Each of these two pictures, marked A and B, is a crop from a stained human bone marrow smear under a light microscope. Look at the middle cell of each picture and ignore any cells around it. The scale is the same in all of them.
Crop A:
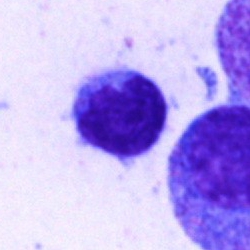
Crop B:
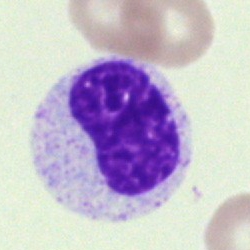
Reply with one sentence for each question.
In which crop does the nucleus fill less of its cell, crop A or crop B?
The nucleus fills less of the cell in crop B than in crop A.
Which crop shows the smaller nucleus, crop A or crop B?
Crop A shows the smaller nucleus, since that in crop B covers about 2 times as much area.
